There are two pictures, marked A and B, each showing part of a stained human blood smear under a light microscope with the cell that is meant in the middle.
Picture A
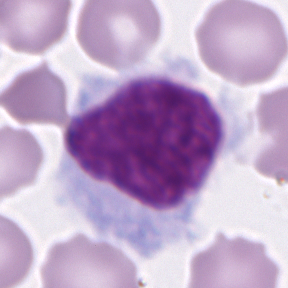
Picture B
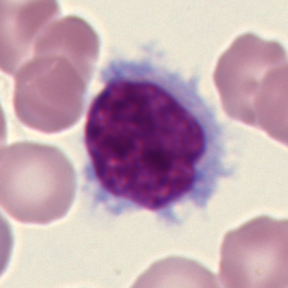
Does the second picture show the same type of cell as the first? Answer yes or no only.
yes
